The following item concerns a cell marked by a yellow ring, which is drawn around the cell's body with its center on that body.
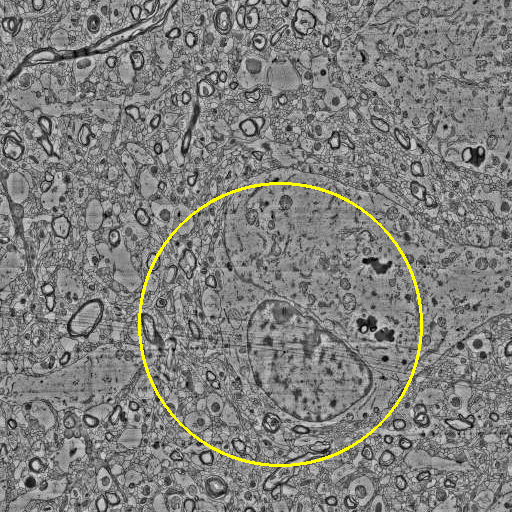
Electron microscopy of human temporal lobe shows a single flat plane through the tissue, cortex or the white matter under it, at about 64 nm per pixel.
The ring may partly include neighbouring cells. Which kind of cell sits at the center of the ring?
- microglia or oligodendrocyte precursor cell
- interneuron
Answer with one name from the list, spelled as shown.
microglia or oligodendrocyte precursor cell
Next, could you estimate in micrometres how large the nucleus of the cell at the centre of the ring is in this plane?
Clearly longer than it is wide in this plane, the nucleus measures roughly 9 by 6 micrometres.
